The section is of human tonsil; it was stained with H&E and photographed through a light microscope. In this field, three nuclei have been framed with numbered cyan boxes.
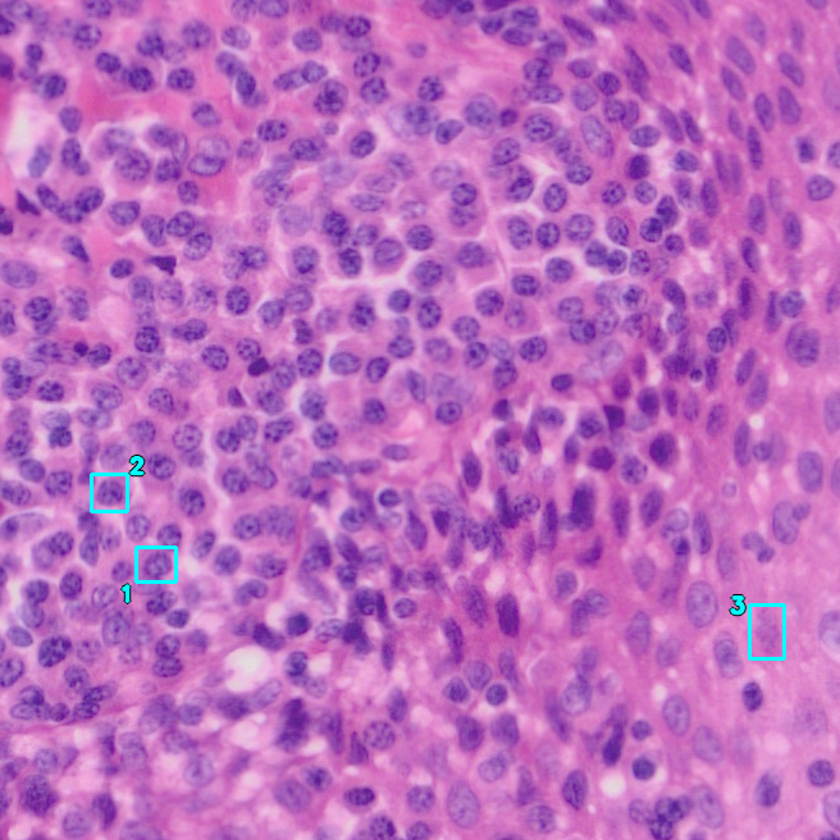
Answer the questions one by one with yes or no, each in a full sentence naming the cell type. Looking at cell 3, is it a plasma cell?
No, the one with number 3 is a squamous epithelial cell, not a plasma cell.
